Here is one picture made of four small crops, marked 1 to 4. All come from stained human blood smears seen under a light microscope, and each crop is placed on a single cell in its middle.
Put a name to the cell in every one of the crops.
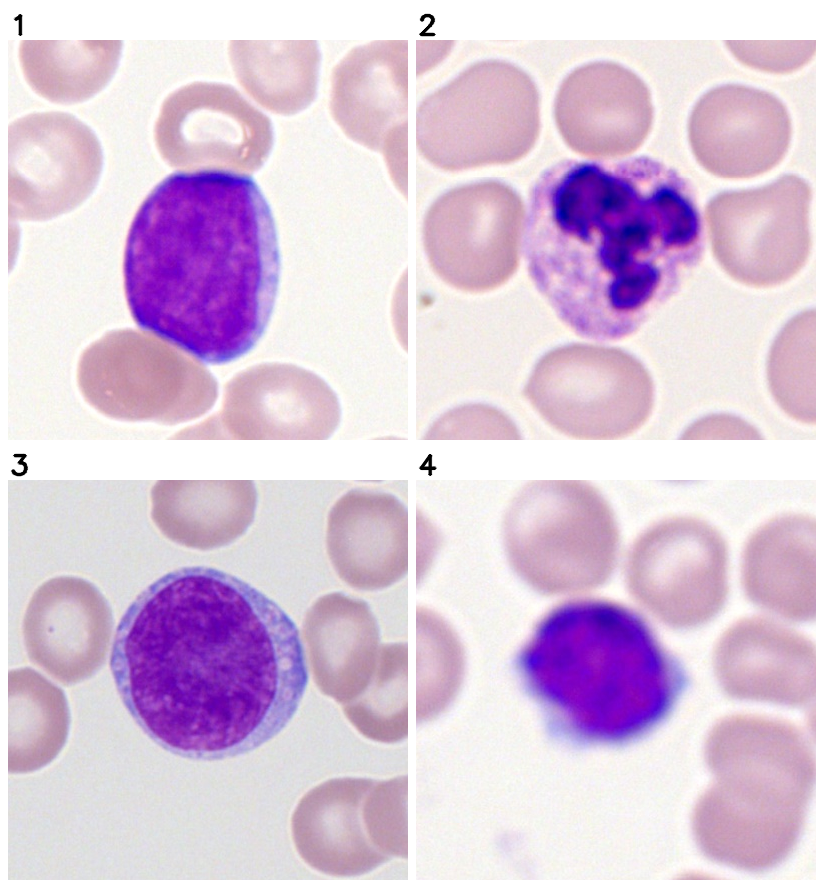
1: blast
2: neutrophil
3: blast
4: lymphocyte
